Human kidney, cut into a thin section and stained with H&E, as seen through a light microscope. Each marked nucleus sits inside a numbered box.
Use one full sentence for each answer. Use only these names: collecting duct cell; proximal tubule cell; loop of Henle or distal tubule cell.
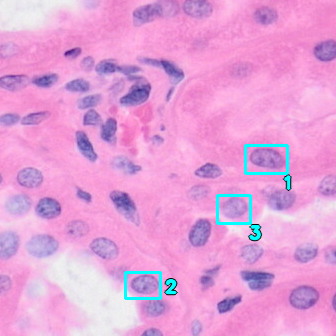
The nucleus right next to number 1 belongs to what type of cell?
It is a loop of Henle or distal tubule cell whose nucleus is nearest to number 1.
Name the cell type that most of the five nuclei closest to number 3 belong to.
Loop of Henle or distal tubule cells account for more than half of the five nuclei nearest to number 3.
